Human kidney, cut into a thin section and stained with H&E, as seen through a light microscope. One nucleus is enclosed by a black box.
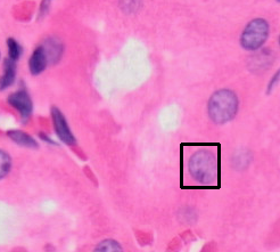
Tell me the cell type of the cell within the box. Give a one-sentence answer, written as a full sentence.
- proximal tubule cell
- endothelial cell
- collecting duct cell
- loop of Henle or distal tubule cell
In the tissue under study, the cell within the box is a proximal tubule cell.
